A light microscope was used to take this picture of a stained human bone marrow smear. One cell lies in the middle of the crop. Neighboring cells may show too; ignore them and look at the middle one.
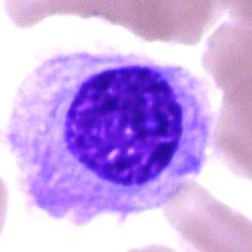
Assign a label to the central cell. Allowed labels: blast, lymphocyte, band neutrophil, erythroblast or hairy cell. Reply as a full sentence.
The cell found in the middle of this crop is a hairy cell.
